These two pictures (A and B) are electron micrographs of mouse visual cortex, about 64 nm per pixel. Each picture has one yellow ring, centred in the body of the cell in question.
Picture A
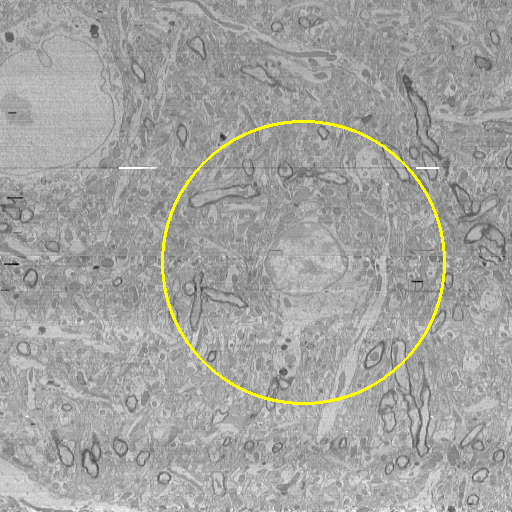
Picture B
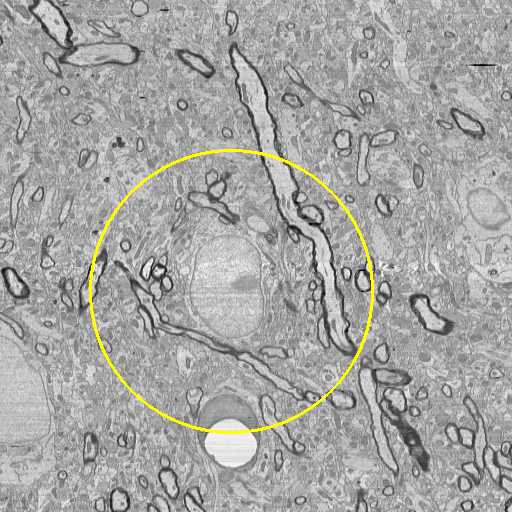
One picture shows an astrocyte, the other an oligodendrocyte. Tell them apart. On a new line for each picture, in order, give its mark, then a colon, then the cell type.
A: oligodendrocyte
B: astrocyte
